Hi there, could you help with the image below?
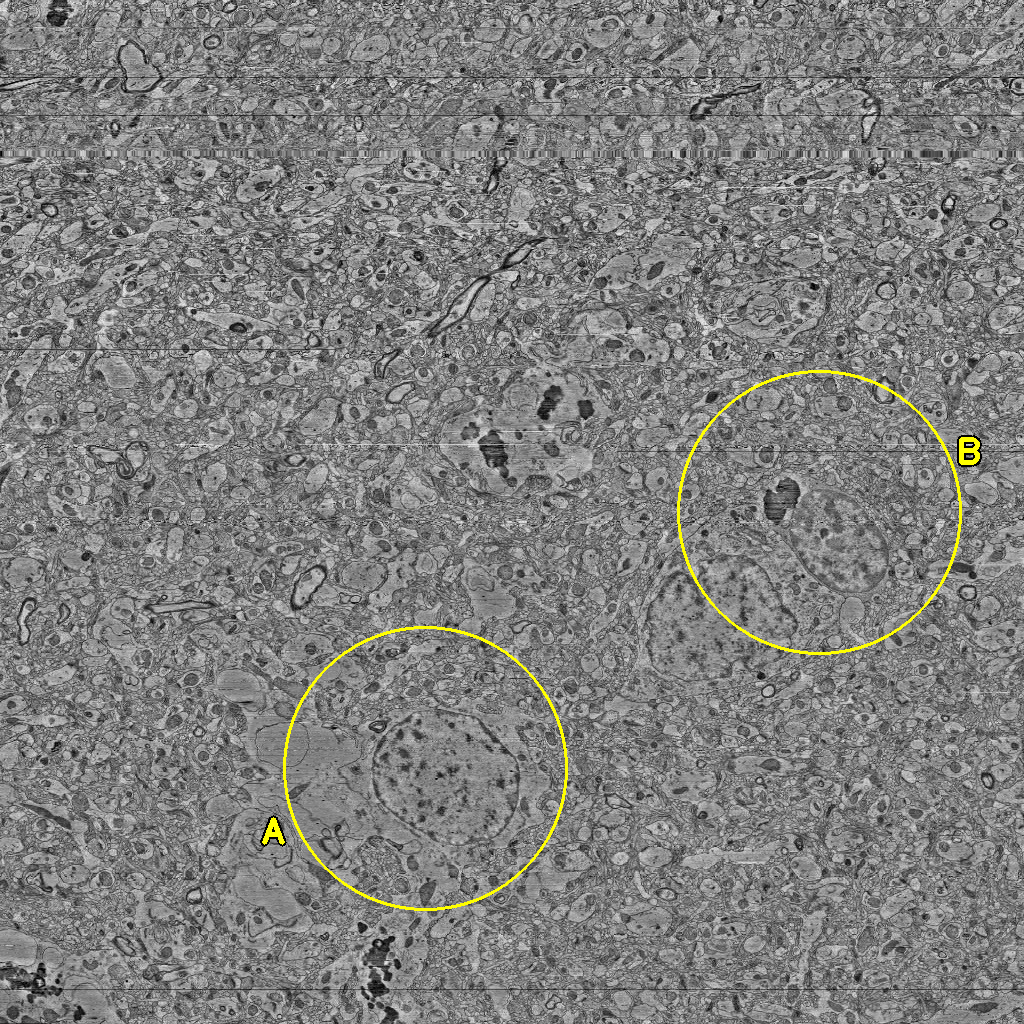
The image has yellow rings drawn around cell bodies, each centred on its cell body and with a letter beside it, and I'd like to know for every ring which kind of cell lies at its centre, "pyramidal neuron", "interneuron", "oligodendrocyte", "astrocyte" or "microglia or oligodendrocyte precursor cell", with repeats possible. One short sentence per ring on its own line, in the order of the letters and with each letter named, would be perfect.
Ring A is placed around an astrocyte.
Ring B is placed around an oligodendrocyte.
